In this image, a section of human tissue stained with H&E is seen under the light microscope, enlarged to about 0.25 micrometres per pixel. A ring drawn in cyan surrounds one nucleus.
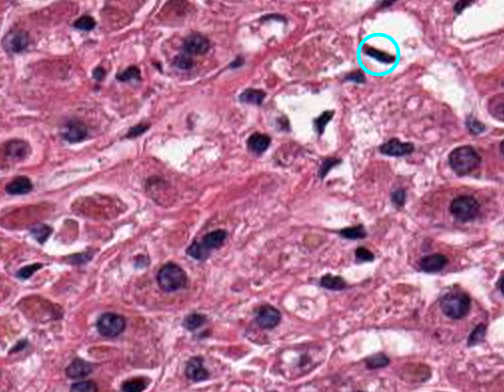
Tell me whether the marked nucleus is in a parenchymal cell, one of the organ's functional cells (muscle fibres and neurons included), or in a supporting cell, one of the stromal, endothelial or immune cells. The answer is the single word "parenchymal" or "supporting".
supporting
